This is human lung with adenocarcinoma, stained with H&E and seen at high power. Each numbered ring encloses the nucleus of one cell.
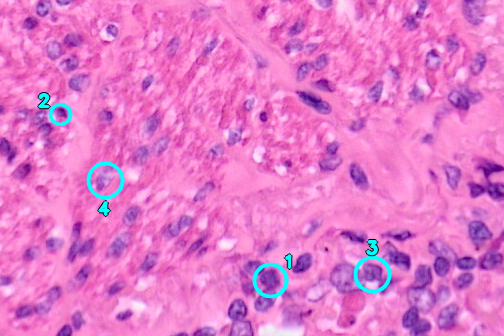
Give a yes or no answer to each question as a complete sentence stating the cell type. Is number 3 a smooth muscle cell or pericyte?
No, cell 3 is not a smooth muscle cell or pericyte; it is a lymphocyte.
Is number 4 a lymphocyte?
No, cell 4 is classified as a smooth muscle cell or pericyte rather than a lymphocyte.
